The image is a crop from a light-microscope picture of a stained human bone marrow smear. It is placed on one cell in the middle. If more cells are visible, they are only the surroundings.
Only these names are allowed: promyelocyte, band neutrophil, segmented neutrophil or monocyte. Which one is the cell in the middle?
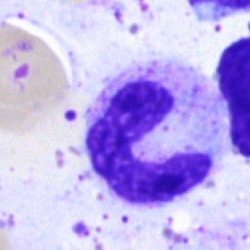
band neutrophil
